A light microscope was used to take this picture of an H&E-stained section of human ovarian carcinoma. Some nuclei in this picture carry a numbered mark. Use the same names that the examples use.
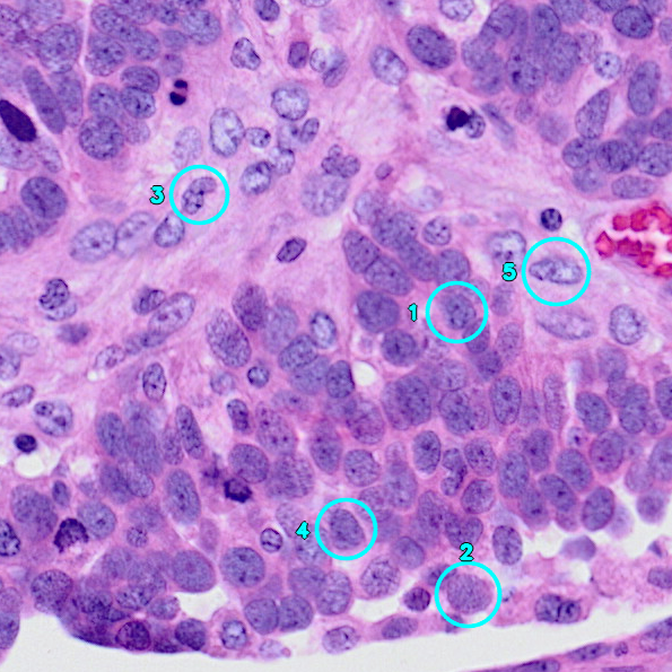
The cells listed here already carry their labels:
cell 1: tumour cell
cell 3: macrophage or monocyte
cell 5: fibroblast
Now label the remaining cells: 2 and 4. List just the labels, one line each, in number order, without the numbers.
tumour cell
tumour cell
